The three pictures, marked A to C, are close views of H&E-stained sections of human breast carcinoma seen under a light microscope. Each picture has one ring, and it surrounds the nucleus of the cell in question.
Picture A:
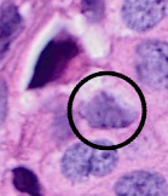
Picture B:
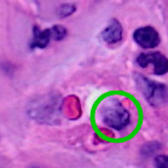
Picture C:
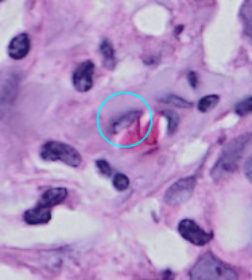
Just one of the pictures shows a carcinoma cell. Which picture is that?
A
